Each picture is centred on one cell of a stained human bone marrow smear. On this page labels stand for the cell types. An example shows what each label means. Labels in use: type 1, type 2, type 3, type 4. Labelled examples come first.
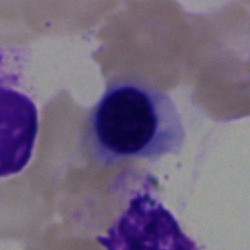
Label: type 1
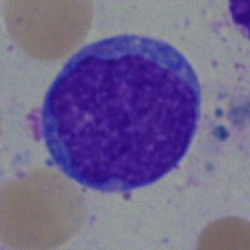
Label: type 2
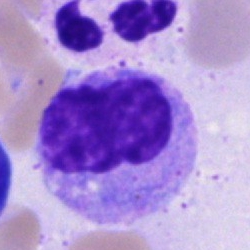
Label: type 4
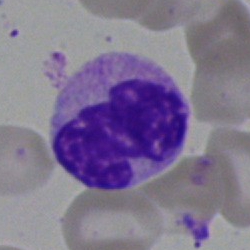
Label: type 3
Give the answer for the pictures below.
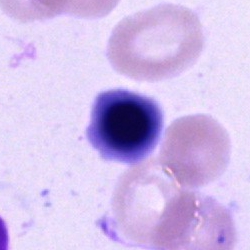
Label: type 1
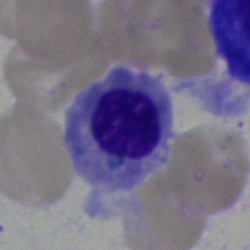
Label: type 1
